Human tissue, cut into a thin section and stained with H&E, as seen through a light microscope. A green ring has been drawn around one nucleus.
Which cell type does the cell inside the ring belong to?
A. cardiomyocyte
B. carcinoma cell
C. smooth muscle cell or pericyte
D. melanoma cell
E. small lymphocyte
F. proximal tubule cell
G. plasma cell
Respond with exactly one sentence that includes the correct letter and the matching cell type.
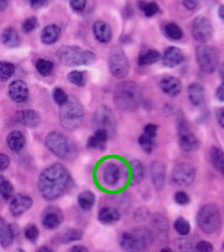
Right answer, option G: the cell inside the ring is a plasma cell.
